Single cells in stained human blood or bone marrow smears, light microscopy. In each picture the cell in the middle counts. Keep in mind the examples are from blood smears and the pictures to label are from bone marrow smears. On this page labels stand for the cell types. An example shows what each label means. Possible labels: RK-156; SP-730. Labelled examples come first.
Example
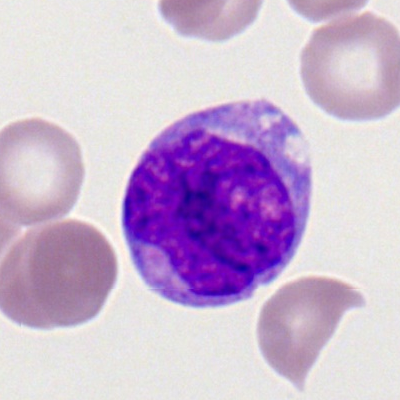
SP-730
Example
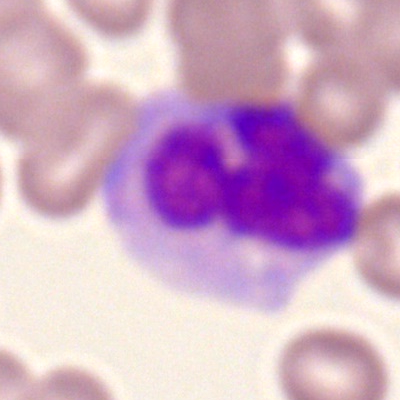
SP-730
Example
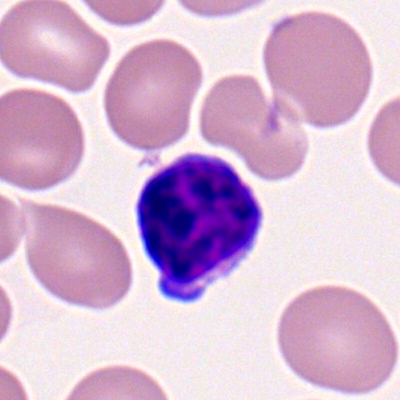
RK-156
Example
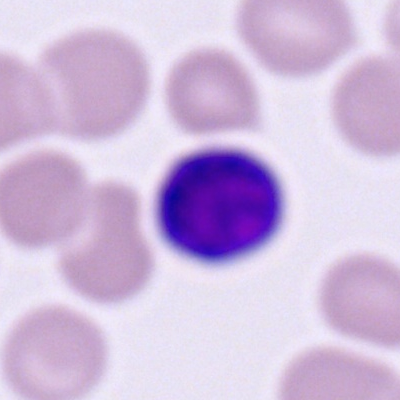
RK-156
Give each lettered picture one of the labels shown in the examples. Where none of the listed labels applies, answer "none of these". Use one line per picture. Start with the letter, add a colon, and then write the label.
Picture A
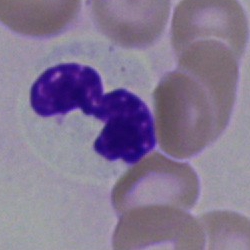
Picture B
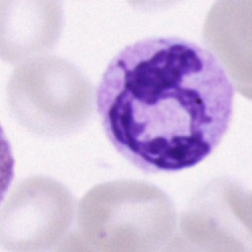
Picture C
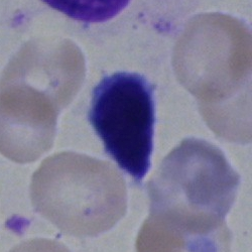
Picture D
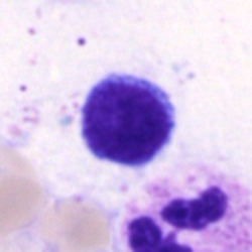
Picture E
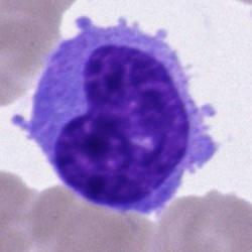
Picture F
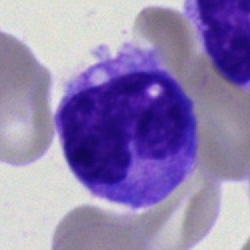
A: none of these
B: none of these
C: RK-156
D: RK-156
E: SP-730
F: SP-730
